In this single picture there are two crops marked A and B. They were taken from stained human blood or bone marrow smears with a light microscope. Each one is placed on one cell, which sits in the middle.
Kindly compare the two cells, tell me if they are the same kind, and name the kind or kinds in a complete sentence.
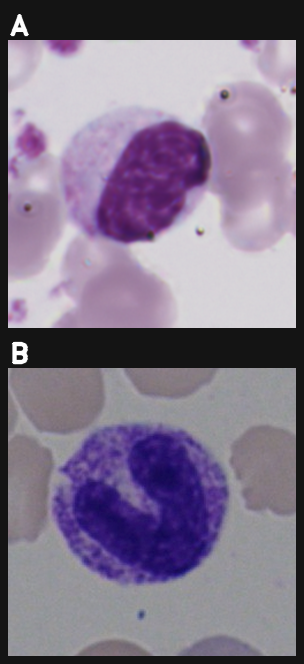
No, crop A is where a metamyelocyte is shown, and crop B is where a band neutrophil is shown.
